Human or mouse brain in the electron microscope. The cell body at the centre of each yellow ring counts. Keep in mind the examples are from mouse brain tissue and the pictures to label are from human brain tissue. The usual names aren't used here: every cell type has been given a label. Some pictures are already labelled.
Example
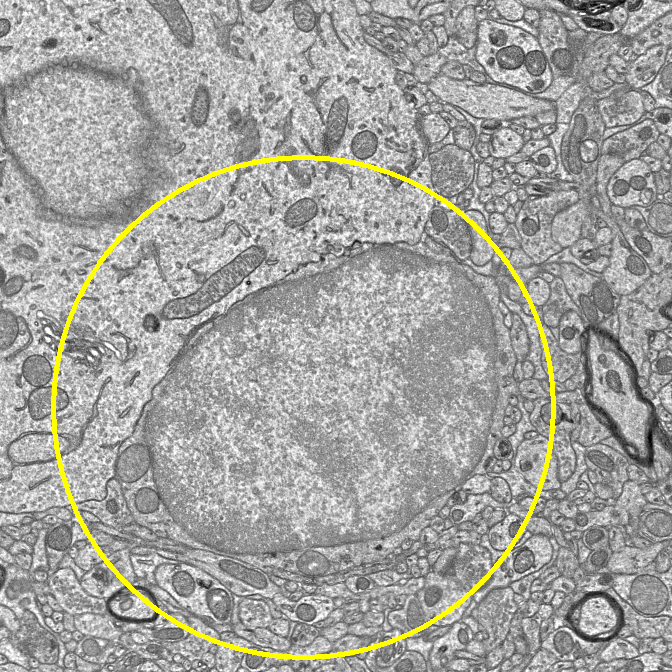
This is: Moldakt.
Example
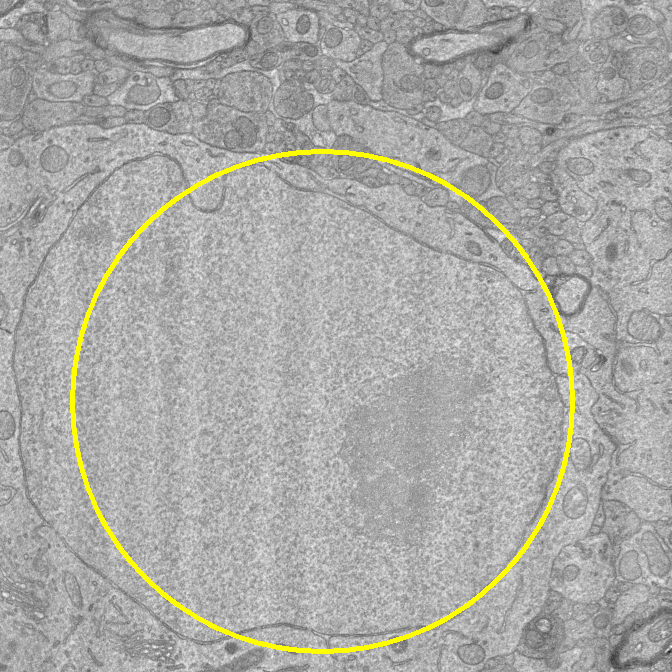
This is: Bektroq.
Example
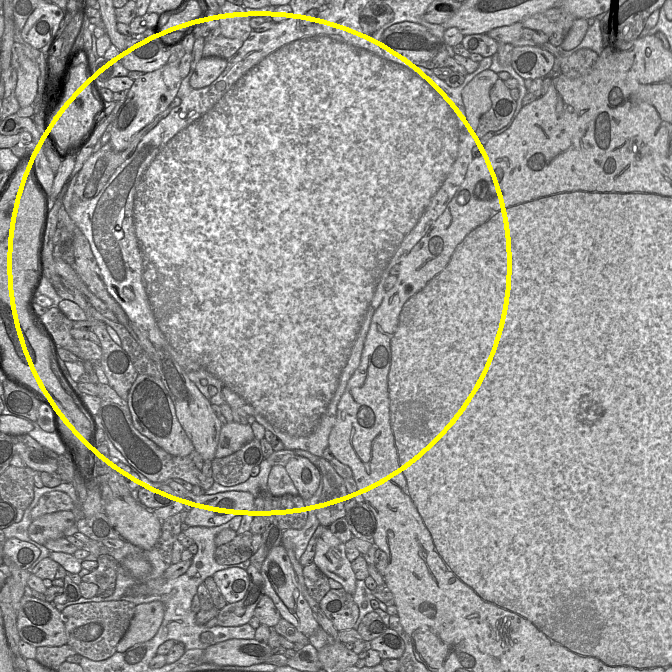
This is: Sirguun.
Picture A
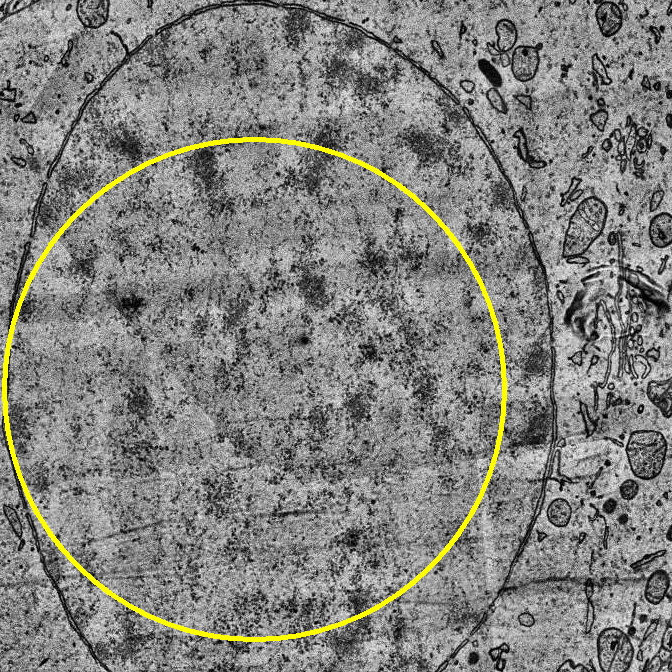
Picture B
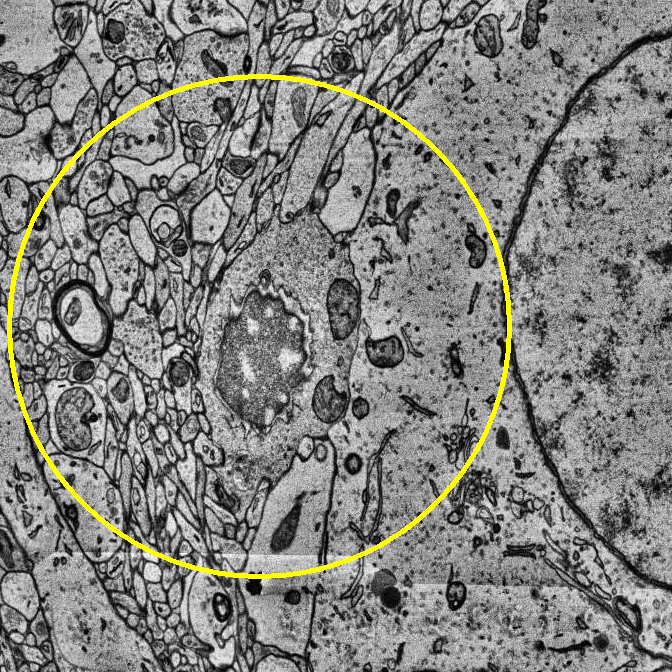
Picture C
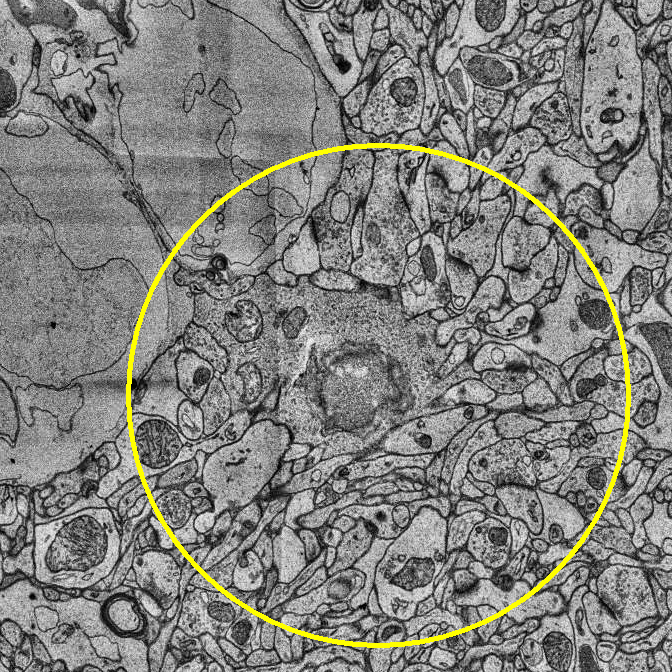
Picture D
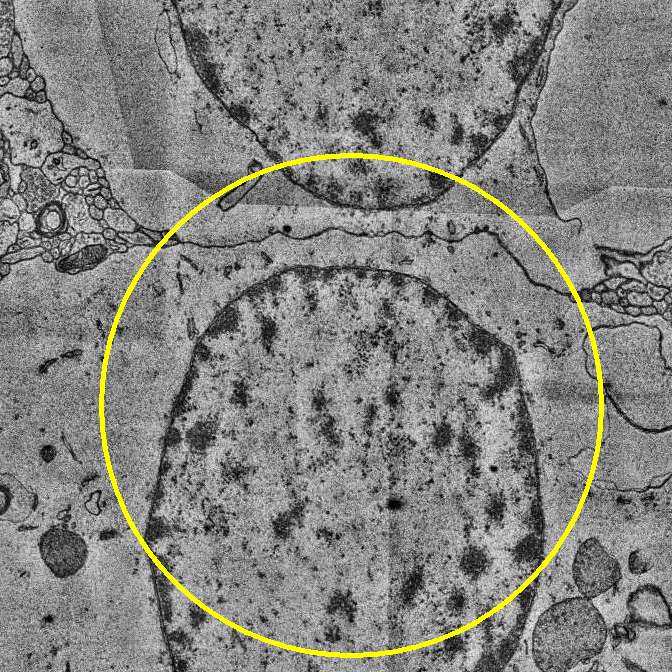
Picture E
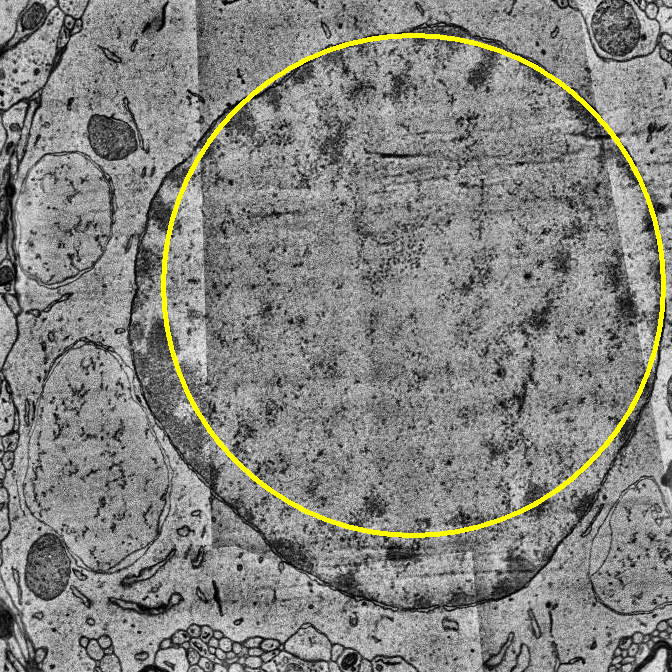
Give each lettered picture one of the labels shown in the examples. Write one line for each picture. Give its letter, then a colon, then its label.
A: Bektroq.
B: Moldakt.
C: Moldakt.
D: Sirguun.
E: Sirguun.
